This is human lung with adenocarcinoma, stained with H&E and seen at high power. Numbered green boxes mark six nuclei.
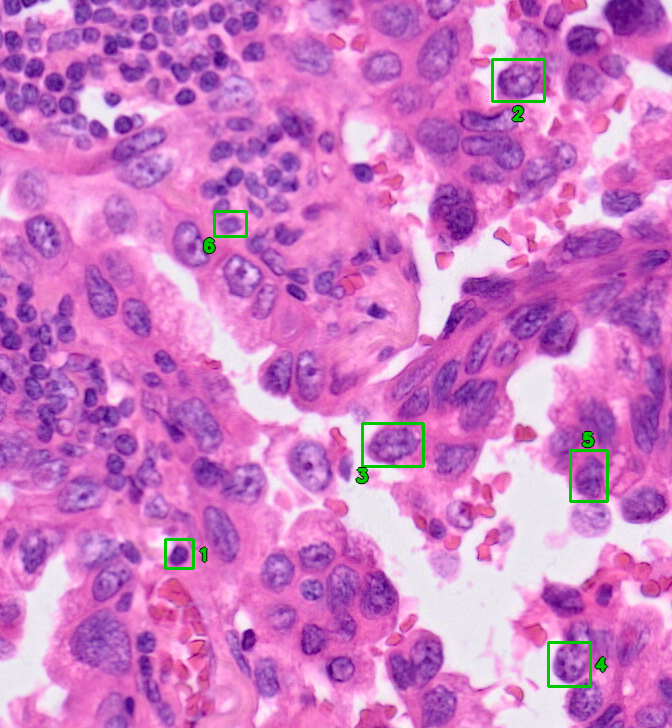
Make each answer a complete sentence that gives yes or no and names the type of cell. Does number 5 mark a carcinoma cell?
Yes, kindly take note: the cell numbered 5 is a carcinoma cell.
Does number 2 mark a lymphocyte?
No, with respect, cell 2 is a carcinoma cell rather than a lymphocyte.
